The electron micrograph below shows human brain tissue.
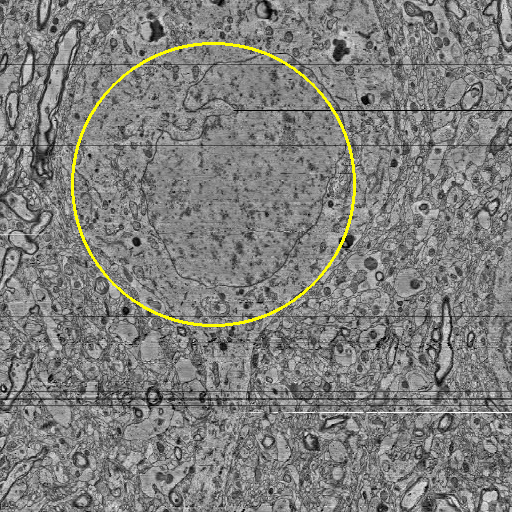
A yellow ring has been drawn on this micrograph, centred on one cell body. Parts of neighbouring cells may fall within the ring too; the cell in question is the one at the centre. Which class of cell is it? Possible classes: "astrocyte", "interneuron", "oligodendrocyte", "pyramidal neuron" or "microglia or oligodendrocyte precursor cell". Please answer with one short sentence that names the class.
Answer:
In the centre of the ring sits a pyramidal neuron.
